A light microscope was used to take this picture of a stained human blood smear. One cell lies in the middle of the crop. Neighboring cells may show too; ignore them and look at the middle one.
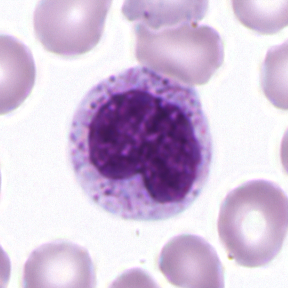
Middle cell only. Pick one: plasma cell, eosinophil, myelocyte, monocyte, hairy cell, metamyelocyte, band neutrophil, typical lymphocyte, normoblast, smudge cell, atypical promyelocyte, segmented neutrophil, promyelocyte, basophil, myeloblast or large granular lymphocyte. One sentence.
Whatever else lies nearby, the middle cell is a metamyelocyte.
